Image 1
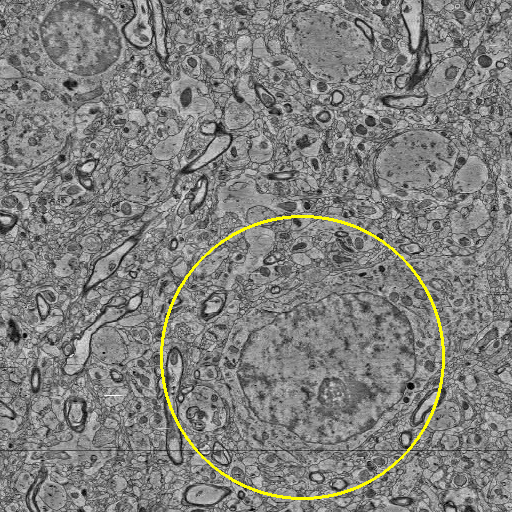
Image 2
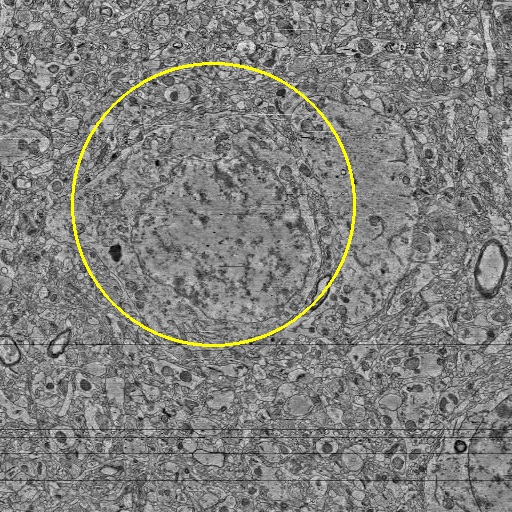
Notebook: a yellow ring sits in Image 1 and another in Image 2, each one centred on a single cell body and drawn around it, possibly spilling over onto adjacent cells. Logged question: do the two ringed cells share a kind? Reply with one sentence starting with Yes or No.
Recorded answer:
Yes, both centre cells inside the rings of Image 1 and Image 2 share one kind.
